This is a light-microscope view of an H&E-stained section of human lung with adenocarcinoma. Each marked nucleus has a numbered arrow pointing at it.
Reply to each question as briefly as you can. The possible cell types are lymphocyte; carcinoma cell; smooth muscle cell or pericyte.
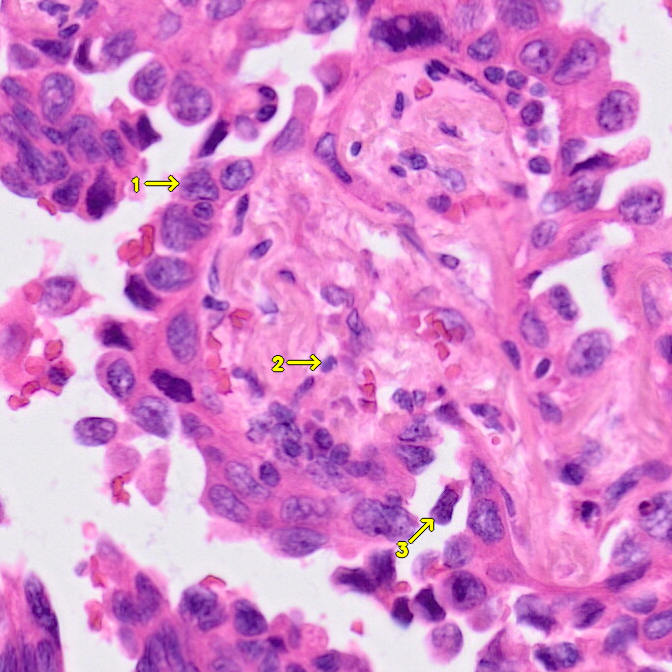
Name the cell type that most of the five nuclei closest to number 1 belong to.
carcinoma cell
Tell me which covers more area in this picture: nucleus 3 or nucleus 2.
3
